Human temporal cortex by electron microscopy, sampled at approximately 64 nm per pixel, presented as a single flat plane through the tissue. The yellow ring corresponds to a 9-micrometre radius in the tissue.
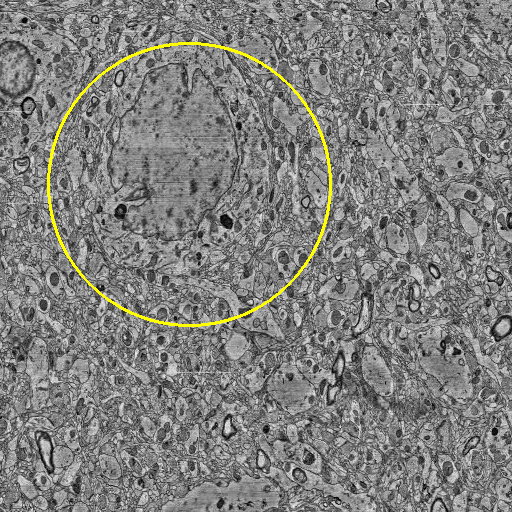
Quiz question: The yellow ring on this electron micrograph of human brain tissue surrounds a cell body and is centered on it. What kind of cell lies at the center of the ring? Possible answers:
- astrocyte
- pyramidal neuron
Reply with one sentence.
The ring's center lies on a pyramidal neuron.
